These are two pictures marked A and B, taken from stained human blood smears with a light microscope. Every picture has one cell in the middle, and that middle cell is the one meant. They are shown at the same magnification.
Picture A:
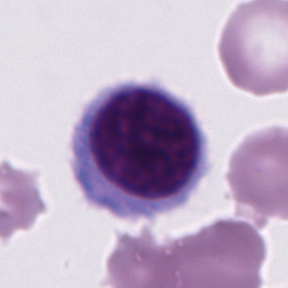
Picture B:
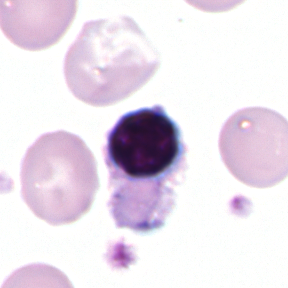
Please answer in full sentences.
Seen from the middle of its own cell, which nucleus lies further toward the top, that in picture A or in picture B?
Seen within its cell, the nucleus in picture B lies further toward the top.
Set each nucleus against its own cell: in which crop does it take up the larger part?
It is the cell in picture A that is filled more by its nucleus.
